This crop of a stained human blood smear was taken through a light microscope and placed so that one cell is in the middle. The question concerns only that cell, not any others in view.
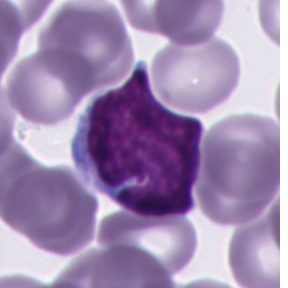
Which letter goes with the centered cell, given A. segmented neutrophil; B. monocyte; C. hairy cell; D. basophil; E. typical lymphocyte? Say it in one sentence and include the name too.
Option E is the correct selection, for the cell at the centre is a typical lymphocyte.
